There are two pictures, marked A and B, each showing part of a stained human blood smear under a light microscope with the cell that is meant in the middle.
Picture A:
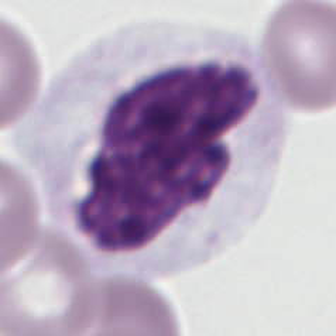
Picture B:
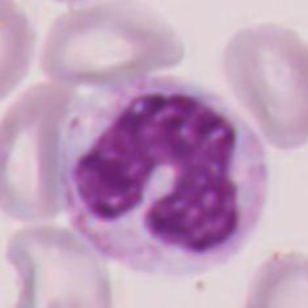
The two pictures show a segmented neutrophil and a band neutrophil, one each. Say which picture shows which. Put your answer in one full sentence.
Picture A is of a segmented neutrophil, and picture B is of a band neutrophil.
